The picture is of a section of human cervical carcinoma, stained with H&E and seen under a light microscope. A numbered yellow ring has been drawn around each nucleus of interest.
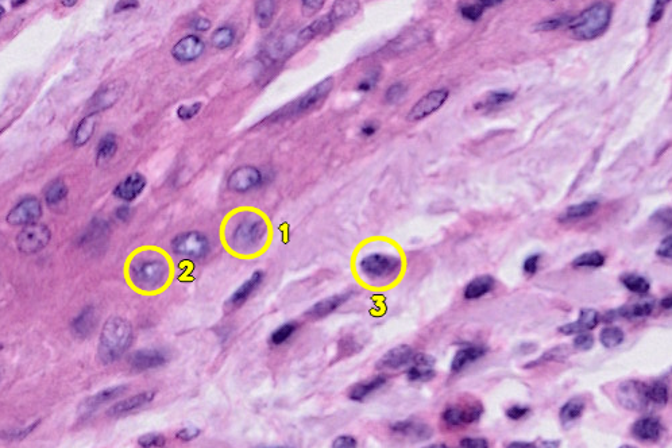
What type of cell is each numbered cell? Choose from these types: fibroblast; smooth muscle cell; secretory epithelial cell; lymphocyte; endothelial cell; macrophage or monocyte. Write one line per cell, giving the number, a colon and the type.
1: smooth muscle cell
2: smooth muscle cell
3: lymphocyte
